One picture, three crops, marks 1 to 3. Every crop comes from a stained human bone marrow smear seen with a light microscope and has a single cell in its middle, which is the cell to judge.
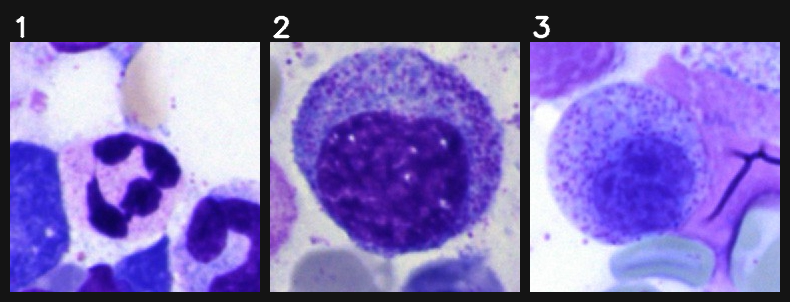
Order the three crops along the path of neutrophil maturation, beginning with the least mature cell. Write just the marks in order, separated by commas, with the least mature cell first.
2, 3, 1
